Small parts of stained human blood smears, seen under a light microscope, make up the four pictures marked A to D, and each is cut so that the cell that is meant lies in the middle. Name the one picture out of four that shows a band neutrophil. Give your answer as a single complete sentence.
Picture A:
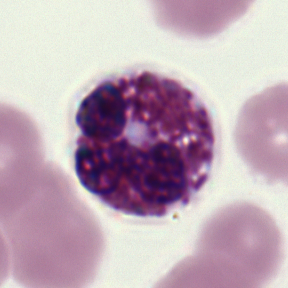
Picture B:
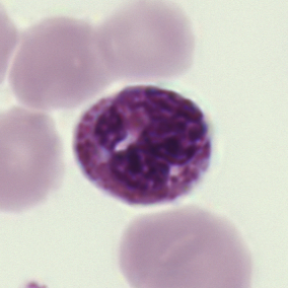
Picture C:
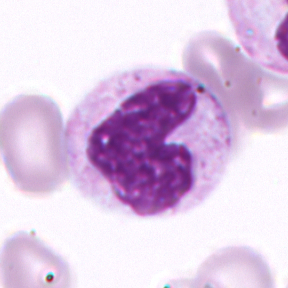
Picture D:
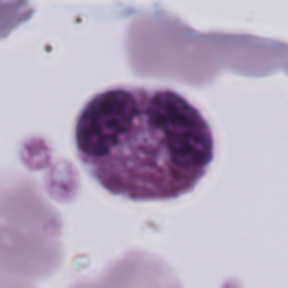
It is picture C that shows the band neutrophil.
